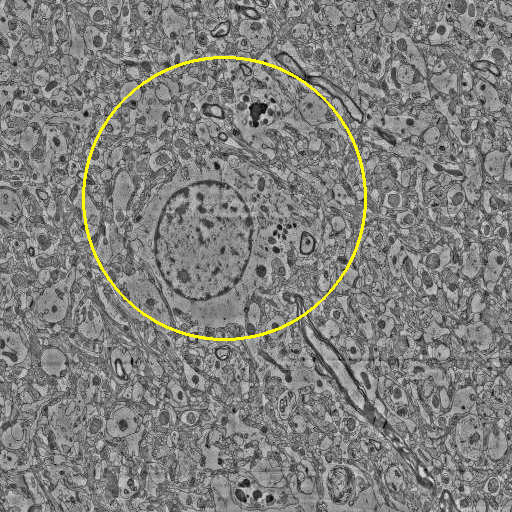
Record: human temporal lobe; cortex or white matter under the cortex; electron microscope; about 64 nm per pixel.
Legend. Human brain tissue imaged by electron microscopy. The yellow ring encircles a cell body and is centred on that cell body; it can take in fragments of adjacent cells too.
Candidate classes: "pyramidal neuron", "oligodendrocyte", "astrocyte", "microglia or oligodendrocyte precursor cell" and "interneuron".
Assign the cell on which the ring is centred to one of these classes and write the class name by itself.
astrocyte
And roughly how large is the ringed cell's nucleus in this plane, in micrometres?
The nucleus works out at approximately 8 by 6 micrometres in this plane.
